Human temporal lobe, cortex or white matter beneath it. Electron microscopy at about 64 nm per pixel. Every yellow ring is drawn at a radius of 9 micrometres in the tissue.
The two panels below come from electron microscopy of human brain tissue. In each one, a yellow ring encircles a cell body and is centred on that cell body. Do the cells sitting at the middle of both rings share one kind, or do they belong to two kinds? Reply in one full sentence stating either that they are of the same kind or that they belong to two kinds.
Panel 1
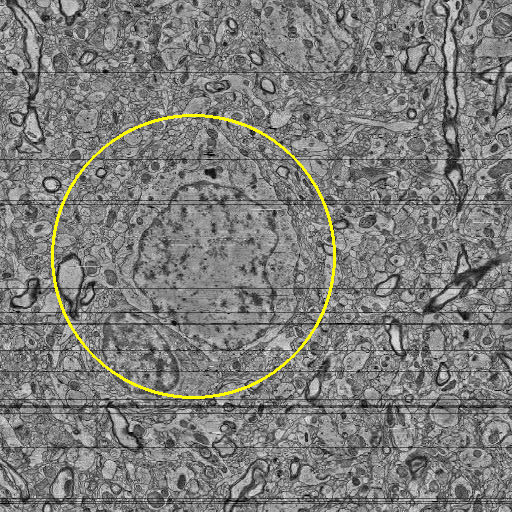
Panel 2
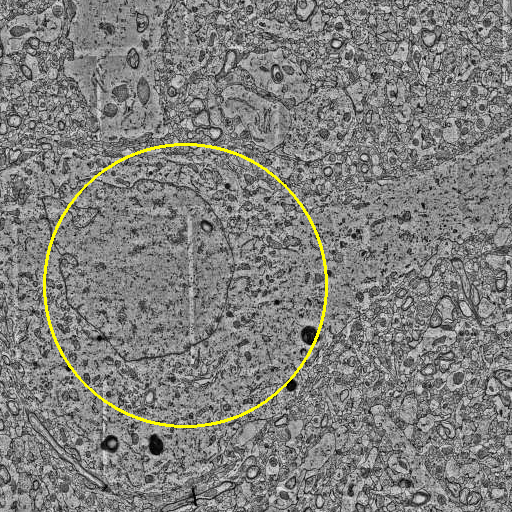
The cells at the centres of the two rings belong to two kinds.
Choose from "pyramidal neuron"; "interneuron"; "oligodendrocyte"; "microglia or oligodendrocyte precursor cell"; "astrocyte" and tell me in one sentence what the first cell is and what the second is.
What the first ring is centred on is an interneuron; what the second ring is centred on is a pyramidal neuron.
